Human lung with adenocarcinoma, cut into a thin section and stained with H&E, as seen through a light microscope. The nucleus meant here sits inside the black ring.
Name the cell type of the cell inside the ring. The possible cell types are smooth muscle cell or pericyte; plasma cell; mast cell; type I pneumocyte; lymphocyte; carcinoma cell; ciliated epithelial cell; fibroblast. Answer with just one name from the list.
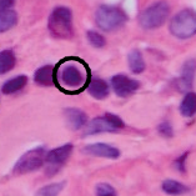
lymphocyte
